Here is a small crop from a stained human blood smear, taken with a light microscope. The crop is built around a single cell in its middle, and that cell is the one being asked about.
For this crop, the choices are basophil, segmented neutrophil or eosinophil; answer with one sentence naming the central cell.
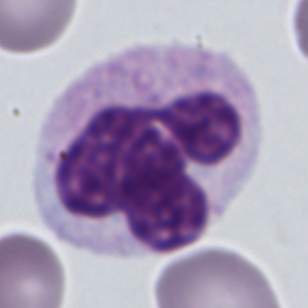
At the center of the crop sits a segmented neutrophil.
